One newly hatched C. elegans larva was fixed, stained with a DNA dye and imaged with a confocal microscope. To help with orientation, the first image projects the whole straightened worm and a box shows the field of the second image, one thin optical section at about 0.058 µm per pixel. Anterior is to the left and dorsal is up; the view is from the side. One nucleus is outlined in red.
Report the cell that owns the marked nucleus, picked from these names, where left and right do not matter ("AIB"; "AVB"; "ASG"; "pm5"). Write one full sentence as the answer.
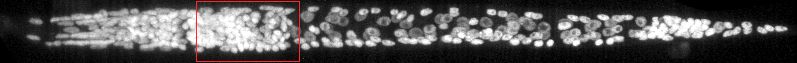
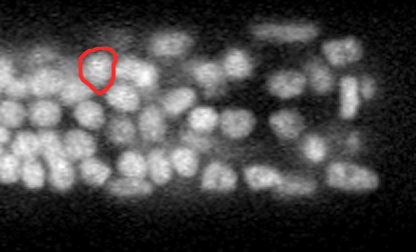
The marked cell is ASG, a neuron.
